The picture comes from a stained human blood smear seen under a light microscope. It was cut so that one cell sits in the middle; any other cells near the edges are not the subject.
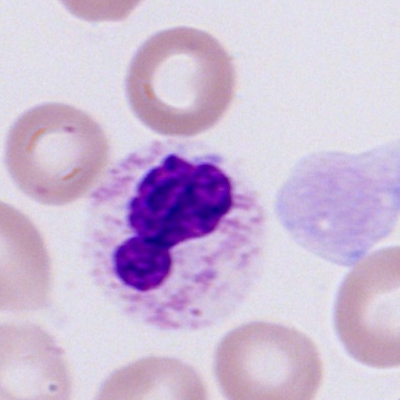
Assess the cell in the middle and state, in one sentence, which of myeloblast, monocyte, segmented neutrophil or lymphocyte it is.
The cell the crop is centered on is a segmented neutrophil.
